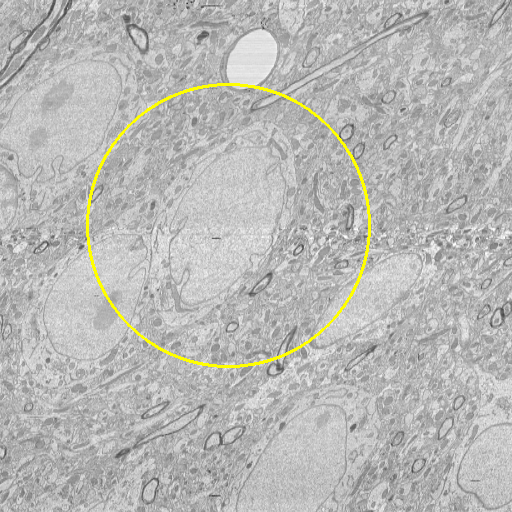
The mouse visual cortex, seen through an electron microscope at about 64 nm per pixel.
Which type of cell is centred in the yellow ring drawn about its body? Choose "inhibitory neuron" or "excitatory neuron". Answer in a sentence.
The yellow ring surrounds the cell body of an inhibitory neuron.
